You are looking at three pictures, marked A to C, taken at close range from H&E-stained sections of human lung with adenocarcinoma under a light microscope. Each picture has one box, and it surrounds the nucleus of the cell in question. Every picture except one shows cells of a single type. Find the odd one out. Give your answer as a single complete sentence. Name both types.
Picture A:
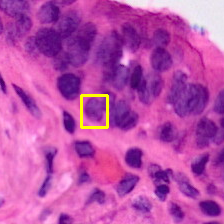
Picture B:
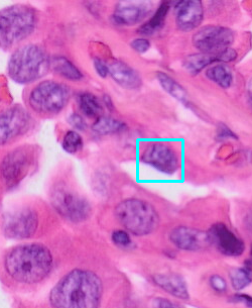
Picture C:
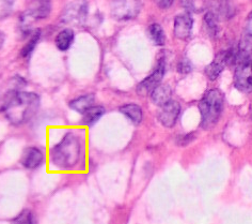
Picture B is the odd one out: it shows a carcinoma cell, while the others show ciliated epithelial cells.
